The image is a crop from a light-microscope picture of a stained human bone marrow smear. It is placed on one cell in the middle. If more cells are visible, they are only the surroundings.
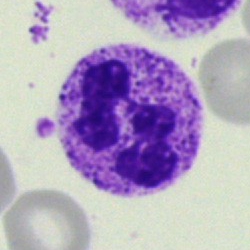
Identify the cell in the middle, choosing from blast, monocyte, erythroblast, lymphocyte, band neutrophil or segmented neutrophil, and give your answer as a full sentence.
The central cell in this smear crop is a segmented neutrophil.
